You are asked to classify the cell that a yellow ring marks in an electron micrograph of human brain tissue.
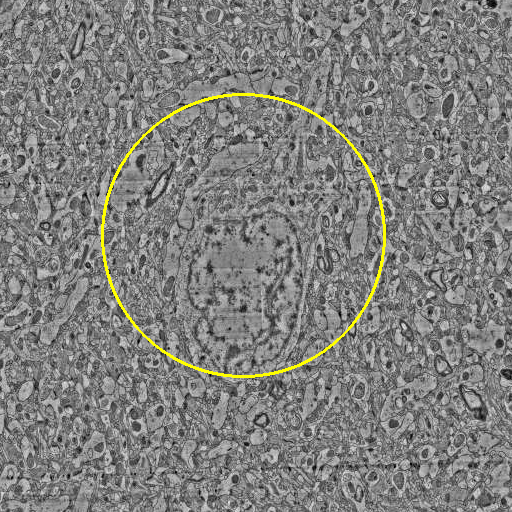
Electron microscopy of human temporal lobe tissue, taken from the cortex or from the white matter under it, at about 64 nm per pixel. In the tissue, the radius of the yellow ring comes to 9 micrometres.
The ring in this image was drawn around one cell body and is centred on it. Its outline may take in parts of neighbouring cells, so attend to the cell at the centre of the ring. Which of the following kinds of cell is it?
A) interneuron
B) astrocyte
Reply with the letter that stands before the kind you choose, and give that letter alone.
A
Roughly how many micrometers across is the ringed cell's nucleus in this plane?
In this plane the nucleus measures roughly 10 by 8 micrometers.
